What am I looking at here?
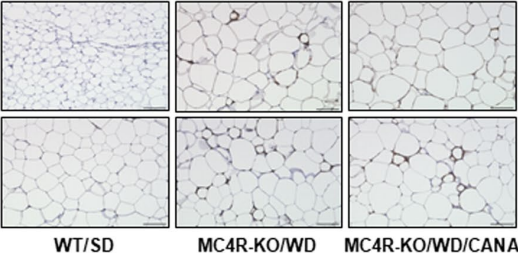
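Sections of adipose tissue show closely packed large adipocytes with clear, empty-looking interiors and thin walls, forming a honeycomb pattern. Small dark blue nuclei sit flattened at the cell margins. In several images, brown-stained cells gather around single adipocytes, forming ring-like crown-like structures, while in others brown staining is nearly absent. Adipocyte size varies between images, with some showing smaller and more uniform cells.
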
